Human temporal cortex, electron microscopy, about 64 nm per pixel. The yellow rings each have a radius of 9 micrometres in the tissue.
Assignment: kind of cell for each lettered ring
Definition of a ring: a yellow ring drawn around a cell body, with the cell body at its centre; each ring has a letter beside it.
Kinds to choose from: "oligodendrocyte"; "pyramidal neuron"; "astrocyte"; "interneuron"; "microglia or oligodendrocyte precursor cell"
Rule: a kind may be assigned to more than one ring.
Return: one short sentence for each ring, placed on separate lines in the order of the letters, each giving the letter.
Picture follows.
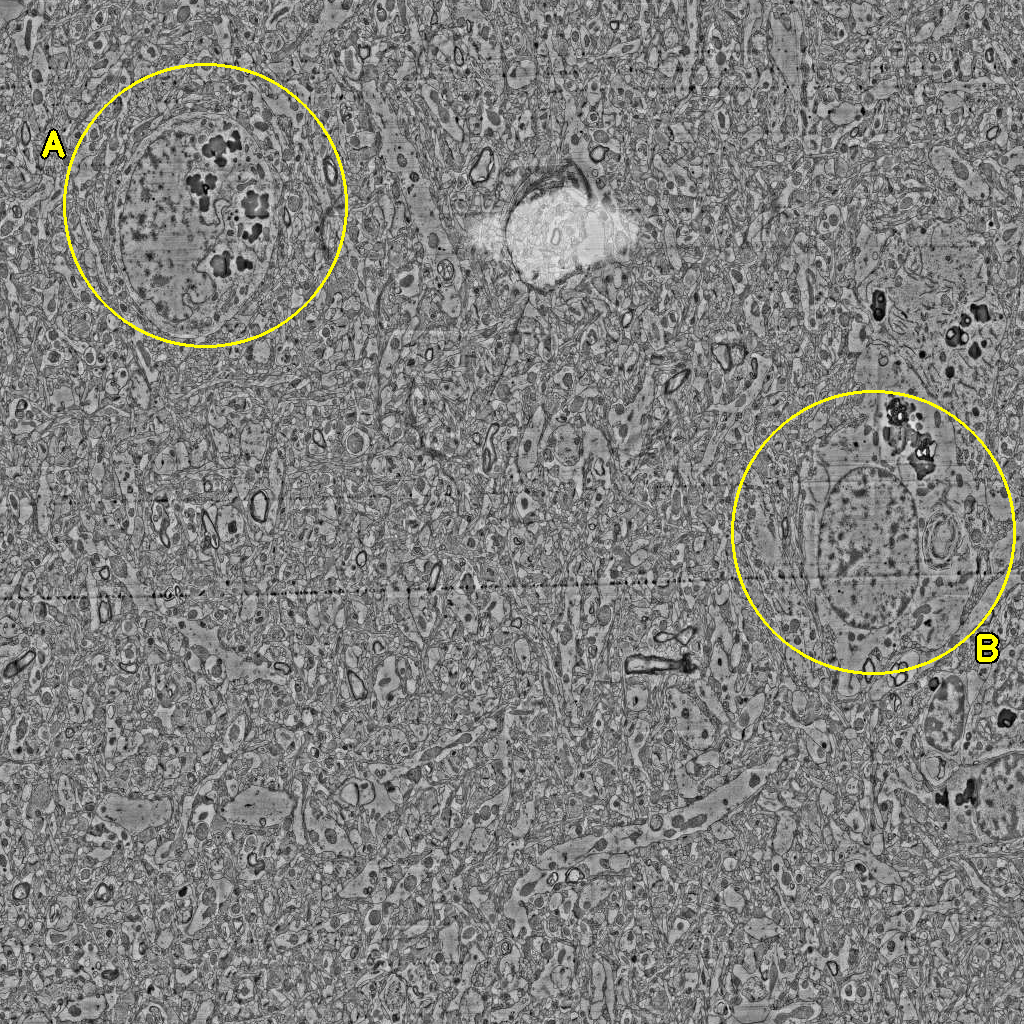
The ring marked A is centred on an interneuron.
The ring marked B is centred on an astrocyte.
